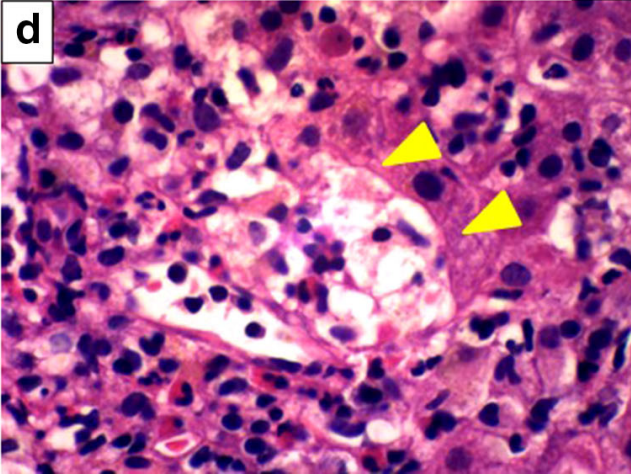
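This is liver parenchyma with hepatocytes undergoing degeneration amid inflammation. Several hepatocytes are swollen, with pale, clear, finely vacuolated and wispy cytoplasm, in contrast to neighbouring hepatocytes with denser pink cytoplasm. Many small dark-nucleated inflammatory cells are scattered between the liver cells, and the normal orderly plates are disrupted.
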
